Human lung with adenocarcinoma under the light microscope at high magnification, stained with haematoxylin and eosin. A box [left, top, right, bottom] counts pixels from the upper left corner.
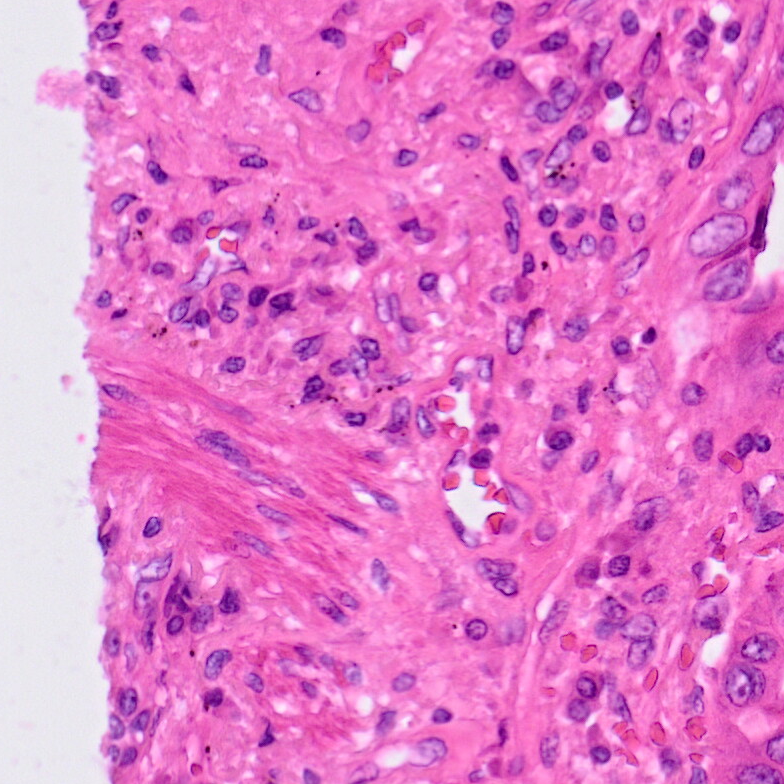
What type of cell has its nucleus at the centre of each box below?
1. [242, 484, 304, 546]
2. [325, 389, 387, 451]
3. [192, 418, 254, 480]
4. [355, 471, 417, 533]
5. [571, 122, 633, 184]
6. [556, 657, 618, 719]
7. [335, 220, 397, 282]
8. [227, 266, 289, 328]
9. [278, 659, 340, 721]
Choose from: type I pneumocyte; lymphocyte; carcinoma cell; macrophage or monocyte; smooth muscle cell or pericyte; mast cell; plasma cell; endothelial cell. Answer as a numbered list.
1. smooth muscle cell or pericyte
2. plasma cell
3. smooth muscle cell or pericyte
4. smooth muscle cell or pericyte
5. lymphocyte
6. plasma cell
7. plasma cell
8. plasma cell
9. smooth muscle cell or pericyte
